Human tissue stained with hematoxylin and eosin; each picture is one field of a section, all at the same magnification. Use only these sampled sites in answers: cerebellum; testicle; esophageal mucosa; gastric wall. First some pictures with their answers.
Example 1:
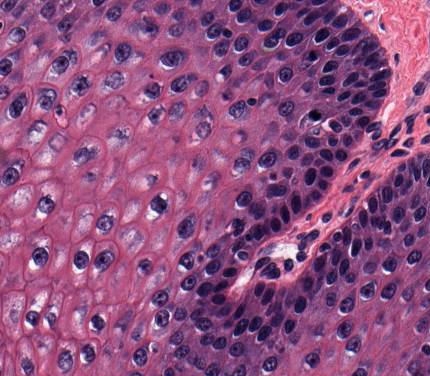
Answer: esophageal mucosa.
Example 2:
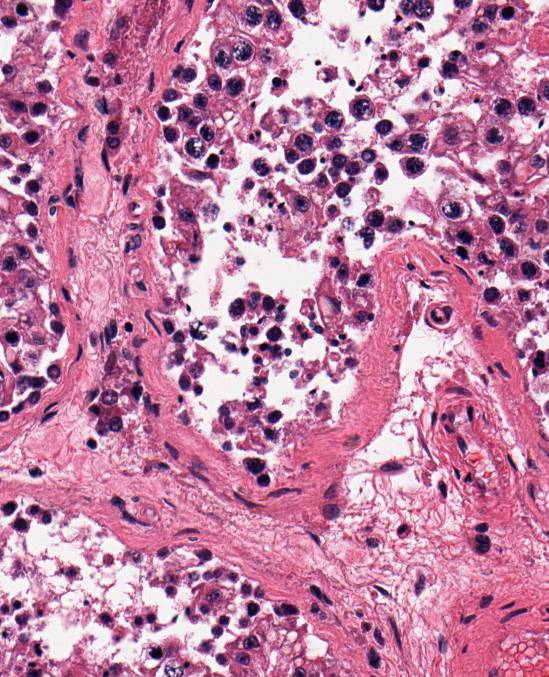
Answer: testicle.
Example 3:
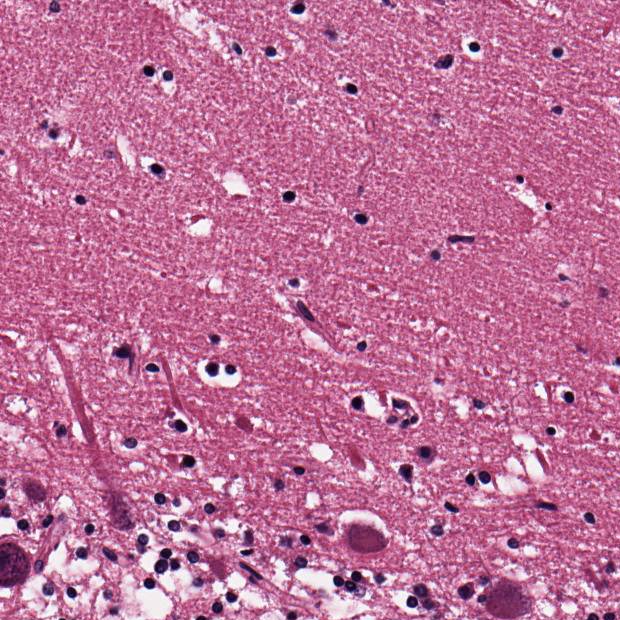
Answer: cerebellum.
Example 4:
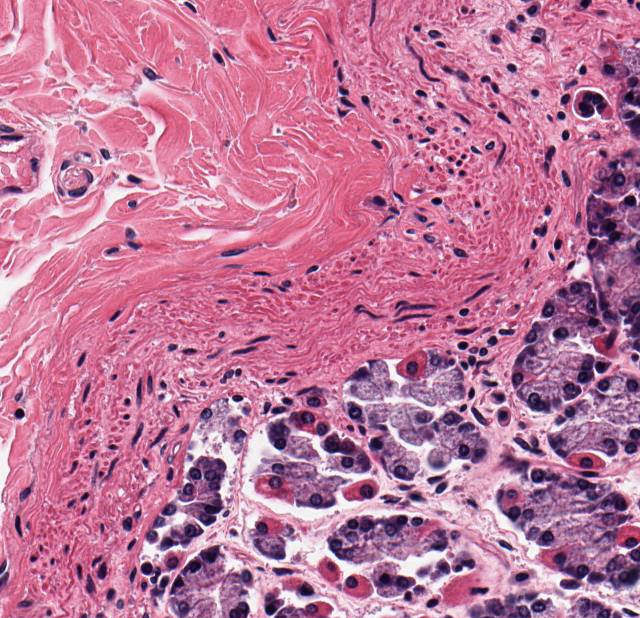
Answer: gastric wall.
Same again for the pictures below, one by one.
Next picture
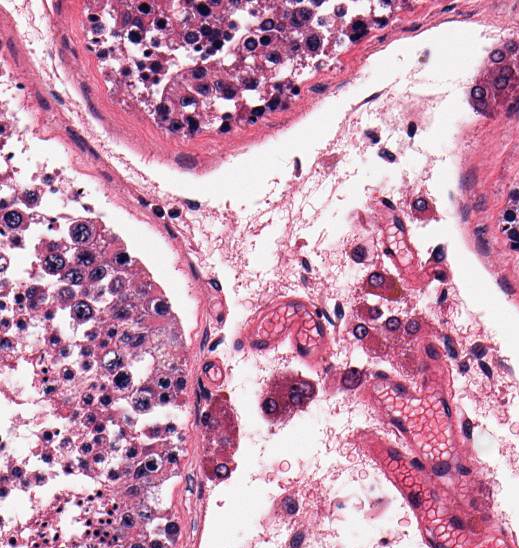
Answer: testicle.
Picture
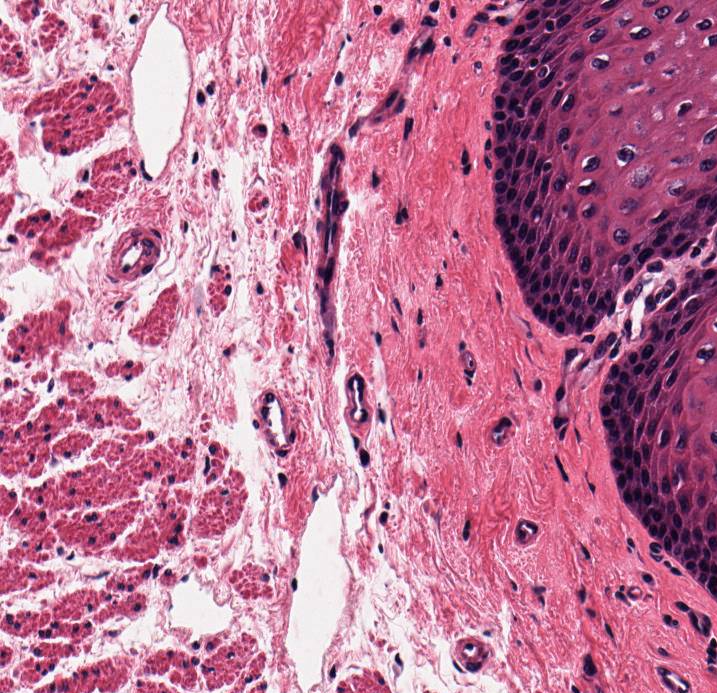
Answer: esophageal mucosa.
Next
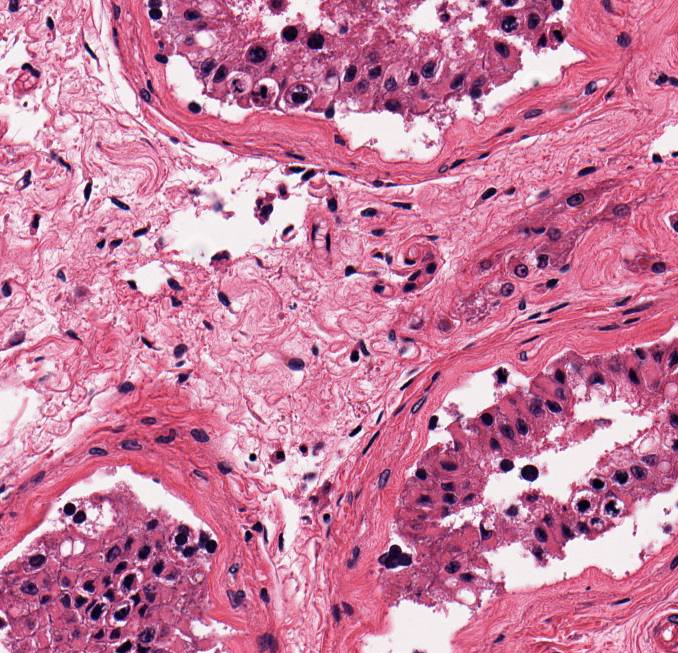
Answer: testicle.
